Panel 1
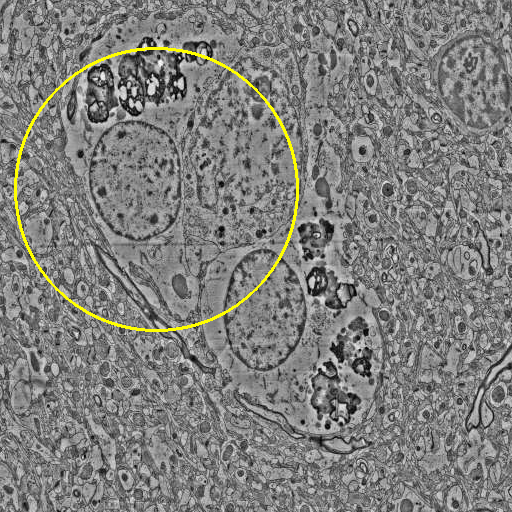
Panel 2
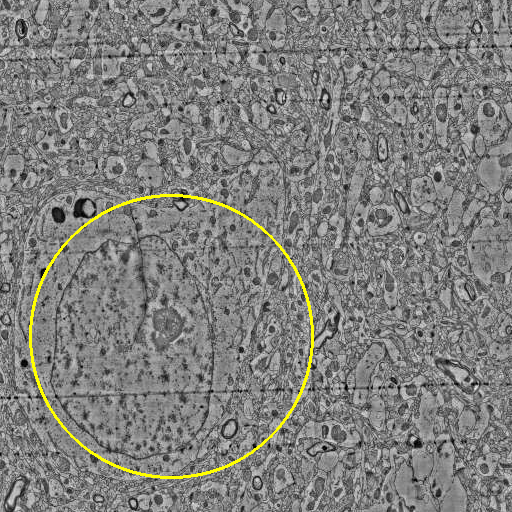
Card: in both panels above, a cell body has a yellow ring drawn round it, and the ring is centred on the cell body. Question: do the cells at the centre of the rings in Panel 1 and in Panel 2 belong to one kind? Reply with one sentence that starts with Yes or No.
No, the cells centred in the rings of Panel 1 and Panel 2 are two kinds of cell.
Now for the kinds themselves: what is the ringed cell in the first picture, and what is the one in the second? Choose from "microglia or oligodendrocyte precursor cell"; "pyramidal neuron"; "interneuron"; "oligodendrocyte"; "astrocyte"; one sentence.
Here the first cell is an astrocyte and the second cell is a pyramidal neuron.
